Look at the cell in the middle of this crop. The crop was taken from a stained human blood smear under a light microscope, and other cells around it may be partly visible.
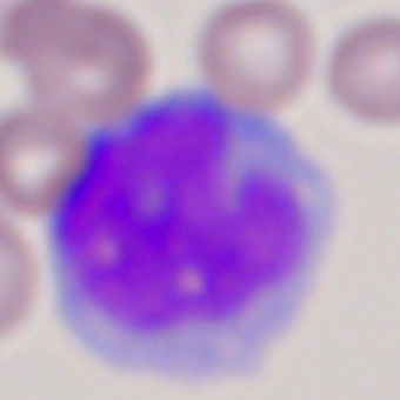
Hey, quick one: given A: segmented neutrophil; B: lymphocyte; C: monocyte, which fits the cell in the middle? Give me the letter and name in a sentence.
Option C holds up: the cell in the middle is a monocyte.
